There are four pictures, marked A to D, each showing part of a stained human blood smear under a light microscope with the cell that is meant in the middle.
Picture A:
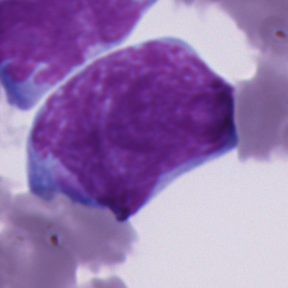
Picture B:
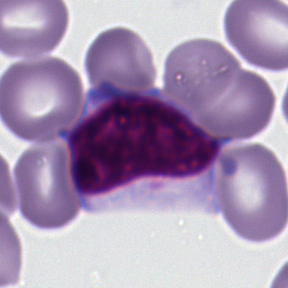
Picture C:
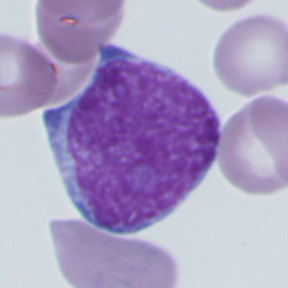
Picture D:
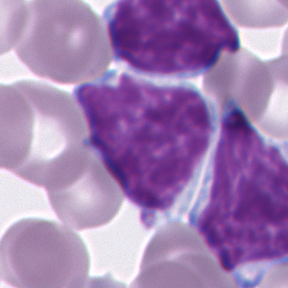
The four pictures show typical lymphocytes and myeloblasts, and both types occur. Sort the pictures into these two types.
A: myeloblast
B: typical lymphocyte
C: myeloblast
D: typical lymphocyte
